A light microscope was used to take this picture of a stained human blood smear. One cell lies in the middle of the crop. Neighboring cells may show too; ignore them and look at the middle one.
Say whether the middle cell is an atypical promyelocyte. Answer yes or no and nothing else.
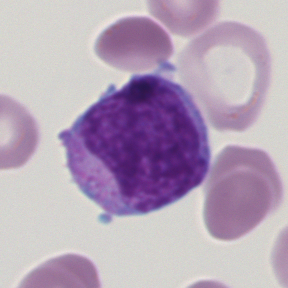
yes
